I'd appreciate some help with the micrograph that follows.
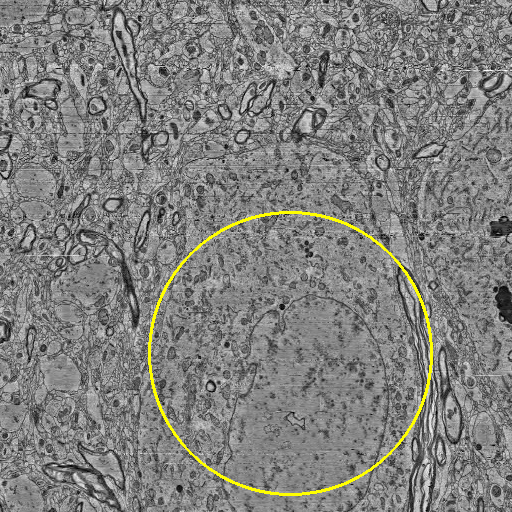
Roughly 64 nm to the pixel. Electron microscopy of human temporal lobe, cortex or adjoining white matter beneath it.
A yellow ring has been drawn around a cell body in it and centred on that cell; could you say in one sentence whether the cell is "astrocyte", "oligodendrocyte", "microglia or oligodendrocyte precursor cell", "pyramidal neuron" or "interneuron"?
It is a pyramidal neuron at the centre of the ring.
